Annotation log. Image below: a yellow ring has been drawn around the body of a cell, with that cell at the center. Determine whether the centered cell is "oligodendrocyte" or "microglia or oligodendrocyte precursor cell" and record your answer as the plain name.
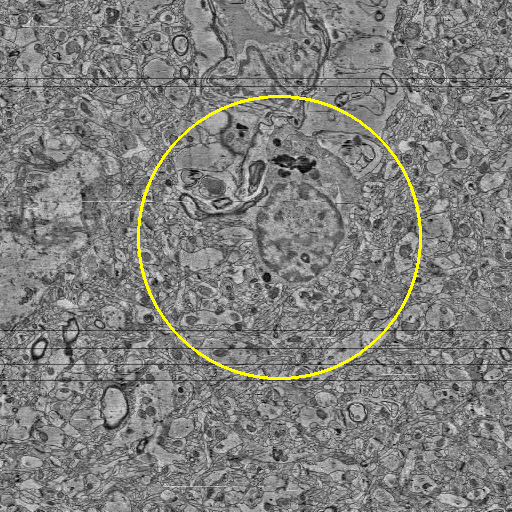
oligodendrocyte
